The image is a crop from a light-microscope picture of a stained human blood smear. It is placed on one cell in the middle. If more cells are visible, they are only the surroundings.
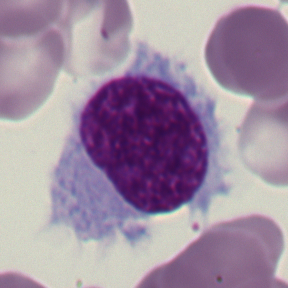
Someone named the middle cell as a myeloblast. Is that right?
no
